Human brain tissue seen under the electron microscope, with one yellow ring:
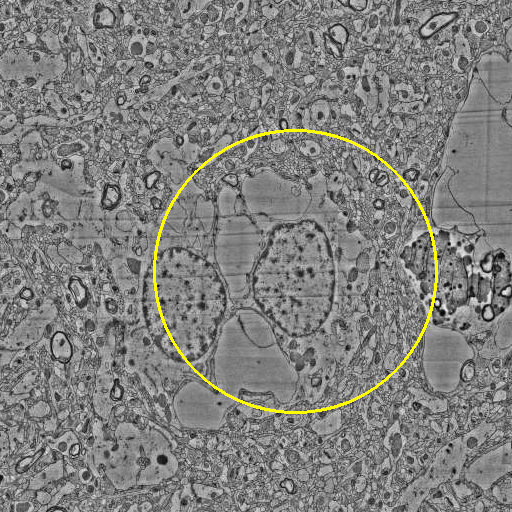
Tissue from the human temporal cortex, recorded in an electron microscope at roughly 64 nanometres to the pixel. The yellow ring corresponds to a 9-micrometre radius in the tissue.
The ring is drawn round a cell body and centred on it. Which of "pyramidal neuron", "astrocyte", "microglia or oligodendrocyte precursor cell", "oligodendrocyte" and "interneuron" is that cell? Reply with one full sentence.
The picture shows an astrocyte at the very centre of the yellow ring.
